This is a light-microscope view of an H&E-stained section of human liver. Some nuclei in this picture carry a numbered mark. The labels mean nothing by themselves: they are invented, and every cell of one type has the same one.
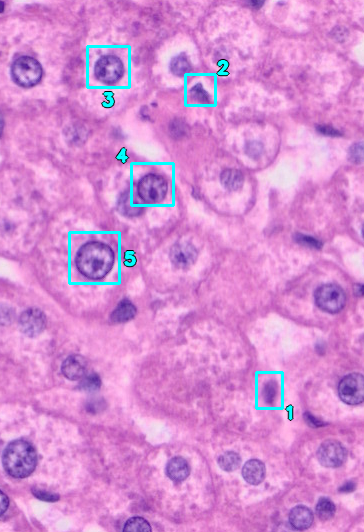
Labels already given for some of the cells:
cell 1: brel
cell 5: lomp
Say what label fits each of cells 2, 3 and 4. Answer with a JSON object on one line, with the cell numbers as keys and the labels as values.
{"2": "brel", "3": "lomp", "4": "lomp"}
